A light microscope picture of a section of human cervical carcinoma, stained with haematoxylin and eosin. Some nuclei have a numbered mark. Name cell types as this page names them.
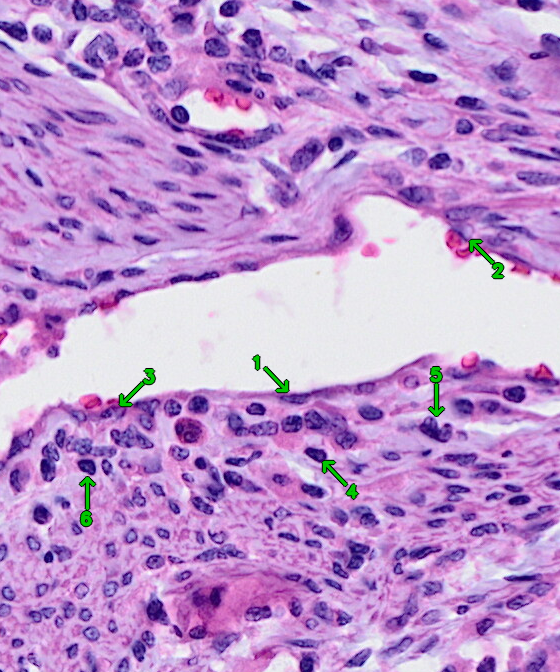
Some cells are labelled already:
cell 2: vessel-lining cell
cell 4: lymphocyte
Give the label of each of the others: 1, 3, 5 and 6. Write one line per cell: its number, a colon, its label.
1: vessel-lining cell
3: vessel-lining cell
5: lymphocyte
6: lymphocyte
